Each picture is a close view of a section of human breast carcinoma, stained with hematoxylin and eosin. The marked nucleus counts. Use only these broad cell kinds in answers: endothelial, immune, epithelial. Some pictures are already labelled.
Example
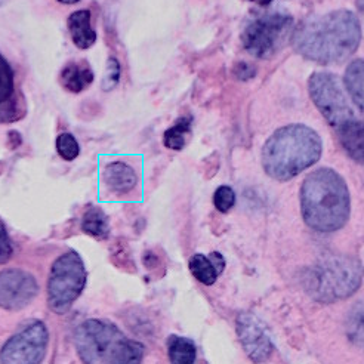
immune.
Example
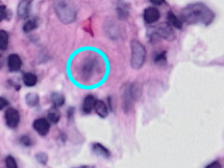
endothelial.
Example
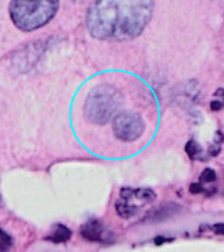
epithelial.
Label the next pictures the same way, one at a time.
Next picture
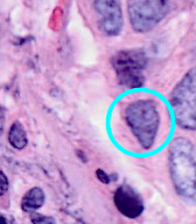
epithelial.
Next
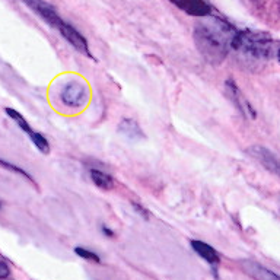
immune.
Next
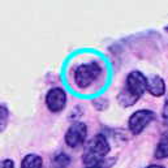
immune.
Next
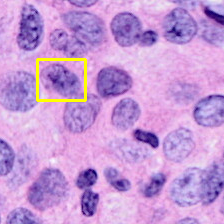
epithelial.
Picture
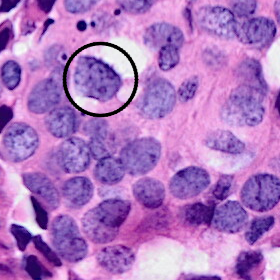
epithelial.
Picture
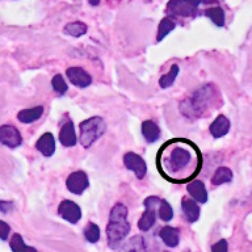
immune.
